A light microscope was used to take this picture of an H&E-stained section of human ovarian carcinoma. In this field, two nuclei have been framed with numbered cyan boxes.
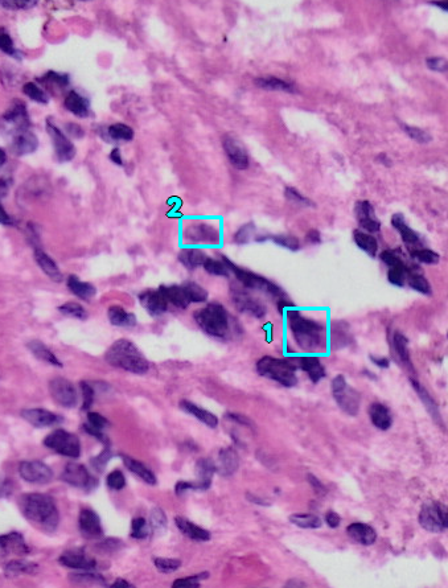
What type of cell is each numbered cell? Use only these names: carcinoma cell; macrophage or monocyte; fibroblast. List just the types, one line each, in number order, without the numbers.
carcinoma cell
macrophage or monocyte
